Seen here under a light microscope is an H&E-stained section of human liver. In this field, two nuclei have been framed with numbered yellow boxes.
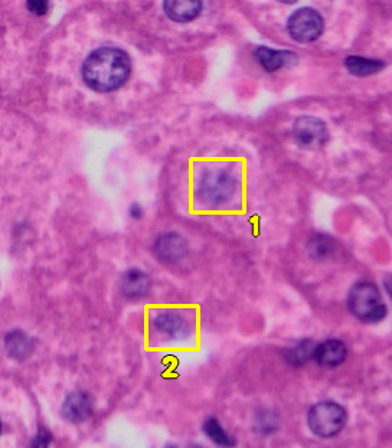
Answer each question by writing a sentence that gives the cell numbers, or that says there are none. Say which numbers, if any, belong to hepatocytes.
Only the cell numbered 1 qualifies as a hepatocyte among the marked cells.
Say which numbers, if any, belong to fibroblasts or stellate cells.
Among the cells marked by numbers, there are no fibroblasts or stellate cells.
